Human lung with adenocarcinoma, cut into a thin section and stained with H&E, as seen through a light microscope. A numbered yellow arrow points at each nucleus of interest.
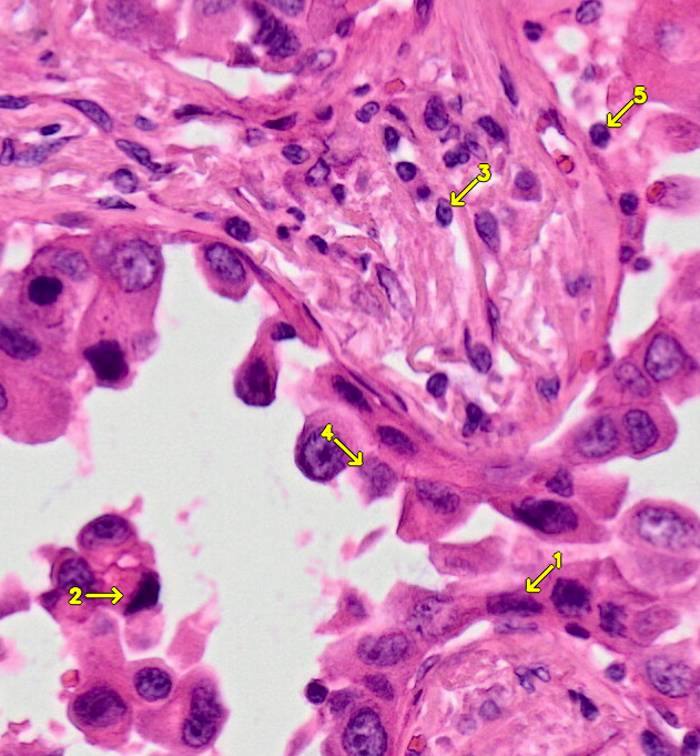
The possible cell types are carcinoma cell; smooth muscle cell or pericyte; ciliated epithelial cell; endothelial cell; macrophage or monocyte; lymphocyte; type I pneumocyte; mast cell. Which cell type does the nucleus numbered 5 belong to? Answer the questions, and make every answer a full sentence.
The cell whose nucleus carries the number 5 is a lymphocyte.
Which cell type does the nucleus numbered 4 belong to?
The cell that bears the number 4 is a carcinoma cell.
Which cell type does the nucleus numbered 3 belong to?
Regarding cell 3, this one is a lymphocyte.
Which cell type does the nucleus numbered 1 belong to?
In the marked set, the cell given number 1 is a carcinoma cell.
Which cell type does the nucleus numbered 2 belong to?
Here, the cell given the number 2 is a carcinoma cell.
